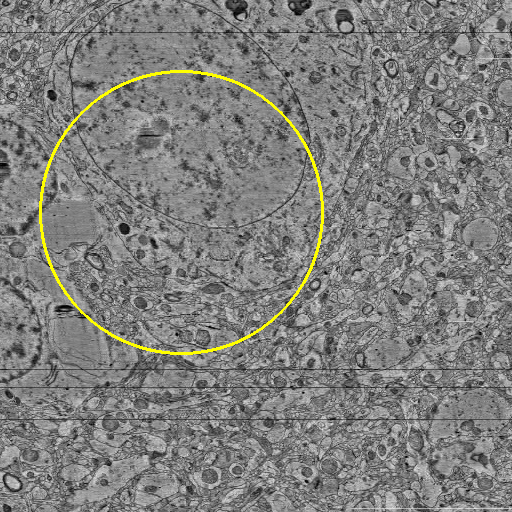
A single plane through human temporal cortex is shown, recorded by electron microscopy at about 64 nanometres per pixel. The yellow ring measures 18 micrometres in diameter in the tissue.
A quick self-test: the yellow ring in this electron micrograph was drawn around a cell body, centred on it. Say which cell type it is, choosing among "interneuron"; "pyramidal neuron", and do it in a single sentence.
The yellow-ringed cell is a pyramidal neuron.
